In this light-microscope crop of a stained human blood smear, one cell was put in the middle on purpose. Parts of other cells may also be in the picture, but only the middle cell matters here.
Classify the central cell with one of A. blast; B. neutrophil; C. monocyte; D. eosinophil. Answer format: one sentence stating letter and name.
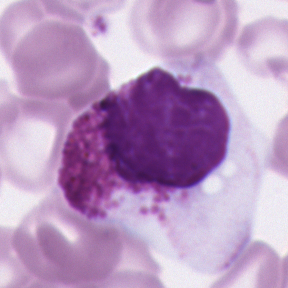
The cell at the centre is an eosinophil, and option D accordingly is correct.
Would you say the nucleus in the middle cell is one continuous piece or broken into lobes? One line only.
A single compact nucleus, round, oval or kidney-shaped, is what this cell shows.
